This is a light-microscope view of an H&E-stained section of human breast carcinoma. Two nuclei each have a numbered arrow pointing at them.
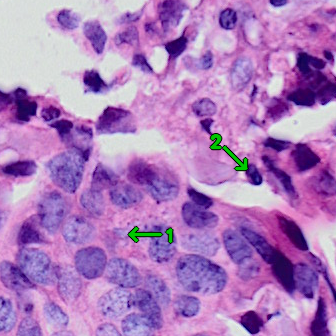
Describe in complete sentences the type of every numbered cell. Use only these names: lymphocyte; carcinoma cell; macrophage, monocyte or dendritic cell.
Cell 1 is a carcinoma cell and cell 2 is a lymphocyte.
